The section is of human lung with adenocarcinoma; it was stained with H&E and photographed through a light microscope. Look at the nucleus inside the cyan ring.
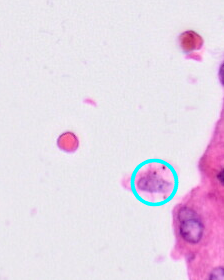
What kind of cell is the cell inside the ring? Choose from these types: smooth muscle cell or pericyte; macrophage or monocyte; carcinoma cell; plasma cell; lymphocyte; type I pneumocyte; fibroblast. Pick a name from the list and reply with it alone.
macrophage or monocyte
